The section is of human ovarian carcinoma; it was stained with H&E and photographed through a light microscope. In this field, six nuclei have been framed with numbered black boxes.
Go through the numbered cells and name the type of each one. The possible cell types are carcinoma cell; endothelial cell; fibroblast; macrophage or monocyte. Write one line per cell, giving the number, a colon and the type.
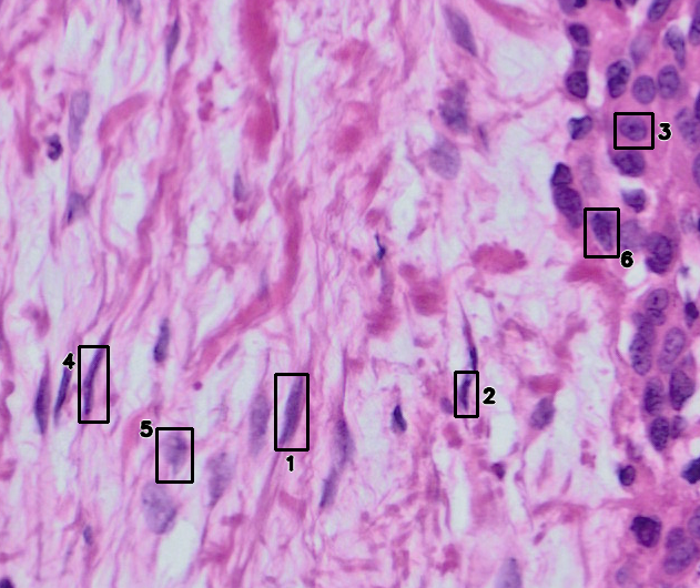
1: fibroblast
2: fibroblast
3: carcinoma cell
4: fibroblast
5: fibroblast
6: carcinoma cell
